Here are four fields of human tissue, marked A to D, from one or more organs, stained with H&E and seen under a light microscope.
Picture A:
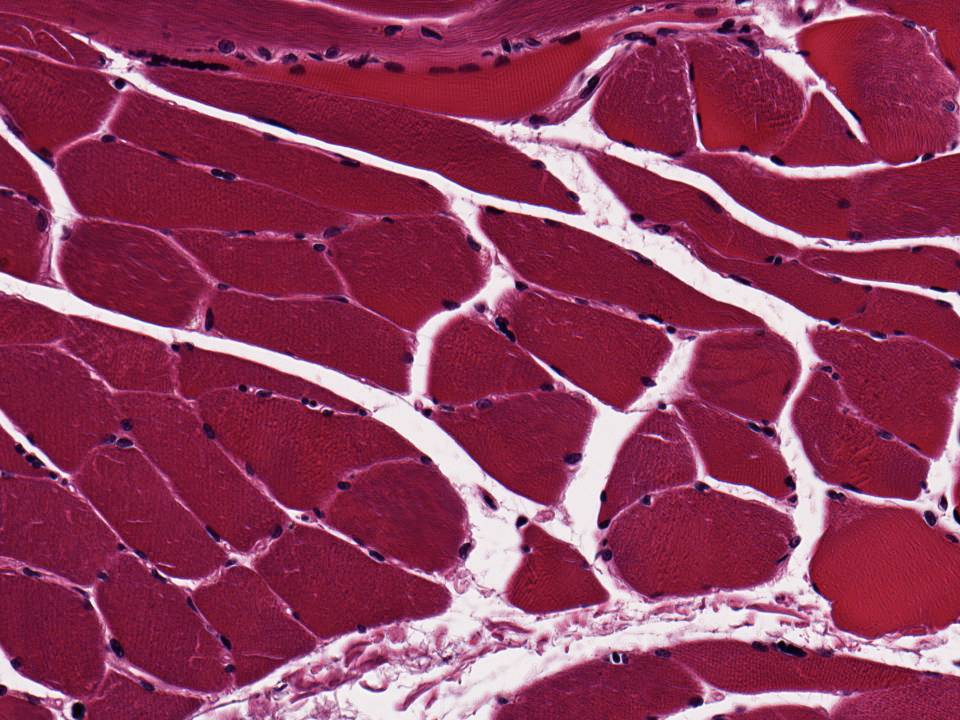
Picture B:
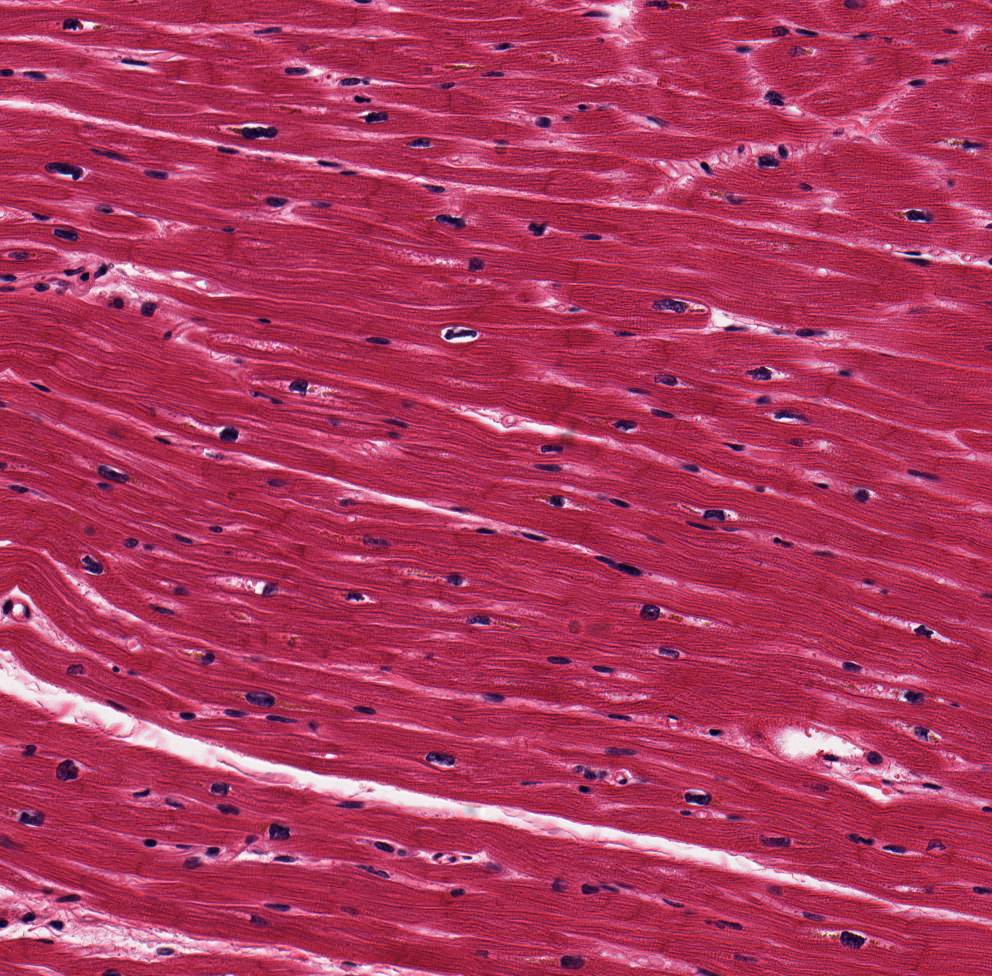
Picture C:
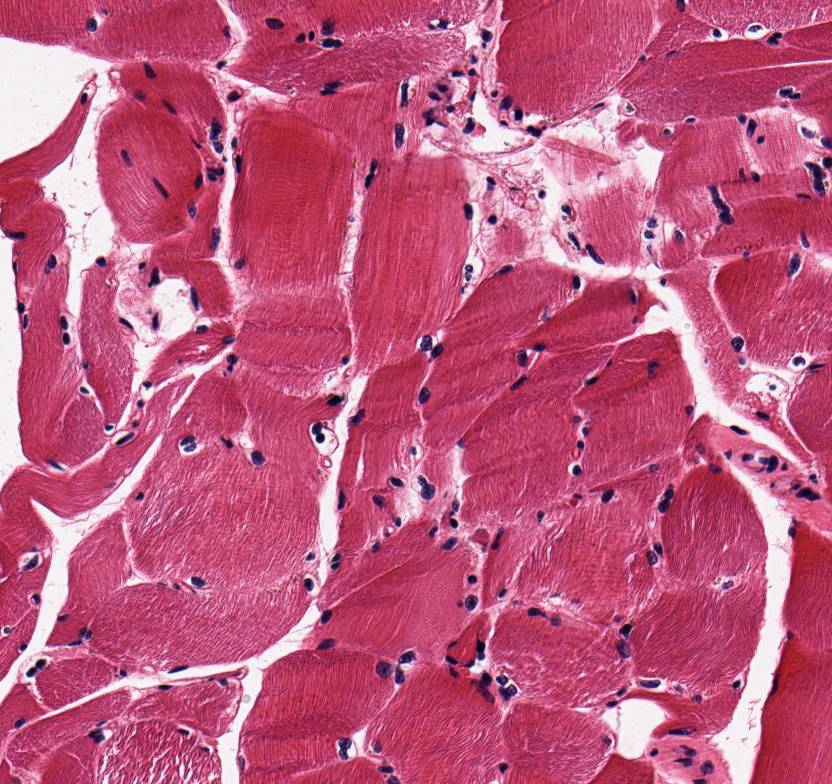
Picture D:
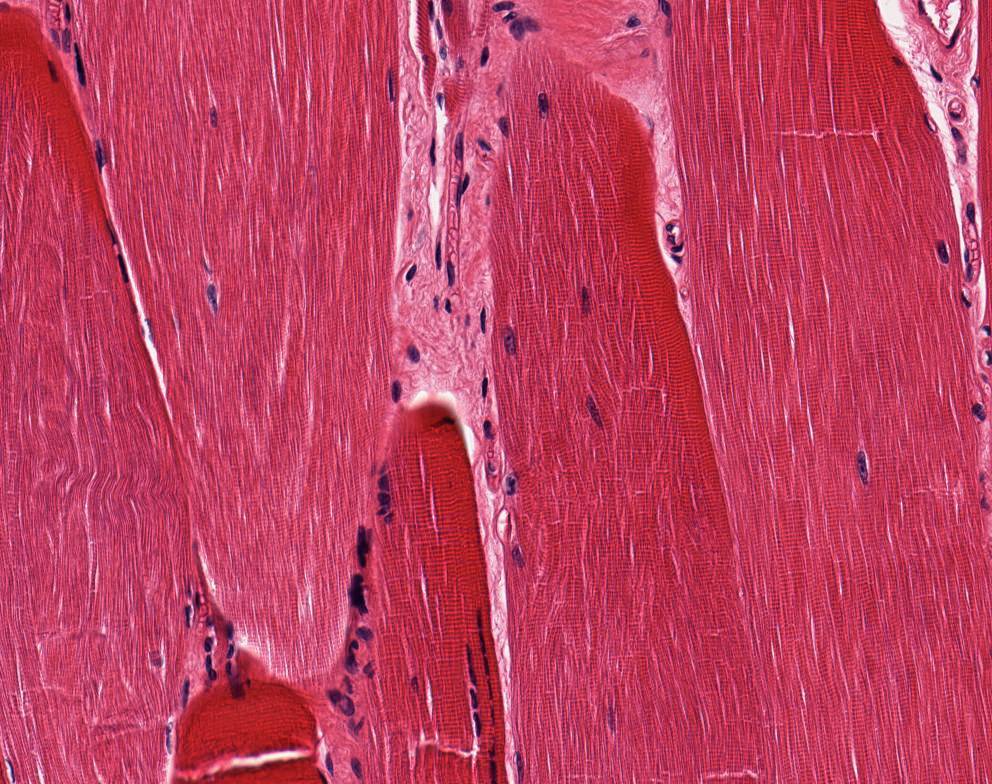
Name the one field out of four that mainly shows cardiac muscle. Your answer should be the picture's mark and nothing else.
B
